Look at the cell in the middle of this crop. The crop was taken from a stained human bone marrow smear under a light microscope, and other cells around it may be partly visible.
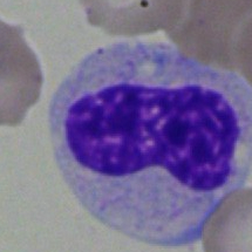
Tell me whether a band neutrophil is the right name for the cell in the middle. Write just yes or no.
yes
